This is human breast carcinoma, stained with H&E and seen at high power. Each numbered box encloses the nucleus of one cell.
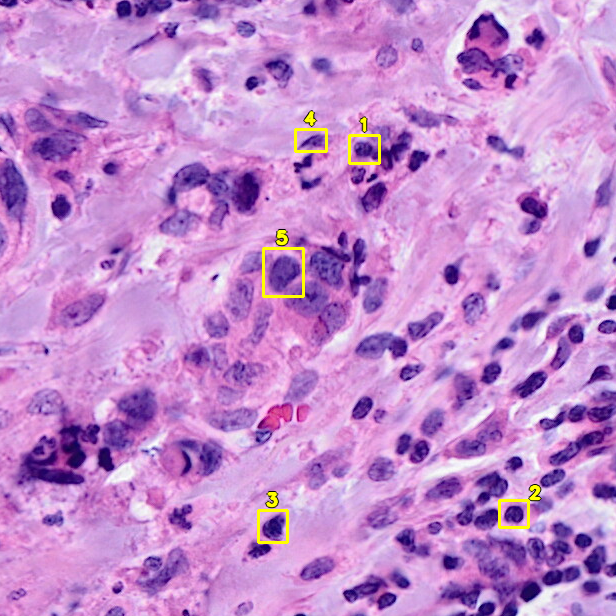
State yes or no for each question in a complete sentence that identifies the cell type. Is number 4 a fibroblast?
Yes, and to answer plainly, cell 4 is a fibroblast.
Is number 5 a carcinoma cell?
Yes, cell number 5 is classified as a carcinoma cell.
